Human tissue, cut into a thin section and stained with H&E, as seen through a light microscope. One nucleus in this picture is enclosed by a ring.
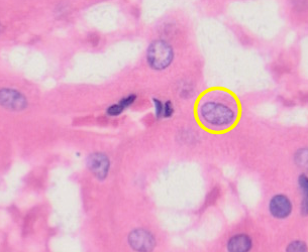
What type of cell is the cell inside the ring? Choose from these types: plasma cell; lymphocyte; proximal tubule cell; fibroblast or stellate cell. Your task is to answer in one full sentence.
Recorded by type, the cell inside the ring is a proximal tubule cell.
